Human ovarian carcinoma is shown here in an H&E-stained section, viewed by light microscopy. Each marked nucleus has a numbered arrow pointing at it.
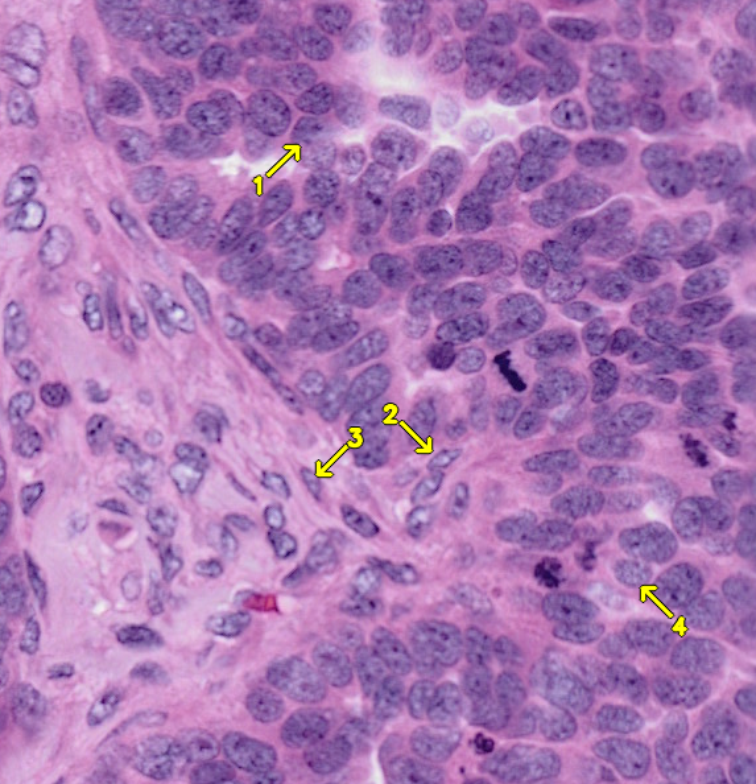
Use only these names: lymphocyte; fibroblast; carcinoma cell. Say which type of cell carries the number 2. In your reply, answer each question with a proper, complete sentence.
The correct answer for cell 2 is a fibroblast.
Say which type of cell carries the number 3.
It is as a fibroblast that the cell numbered 3 is identified.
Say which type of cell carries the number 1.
The cell assigned the number 1 is a carcinoma cell.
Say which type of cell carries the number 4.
Looking at the numbered marks, cell 4 is a carcinoma cell.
